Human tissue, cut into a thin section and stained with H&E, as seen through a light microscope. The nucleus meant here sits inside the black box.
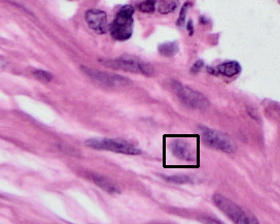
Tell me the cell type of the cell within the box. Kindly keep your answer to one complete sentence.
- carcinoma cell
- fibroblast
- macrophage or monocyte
The cell type represented by the cell within the box is that of a fibroblast.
